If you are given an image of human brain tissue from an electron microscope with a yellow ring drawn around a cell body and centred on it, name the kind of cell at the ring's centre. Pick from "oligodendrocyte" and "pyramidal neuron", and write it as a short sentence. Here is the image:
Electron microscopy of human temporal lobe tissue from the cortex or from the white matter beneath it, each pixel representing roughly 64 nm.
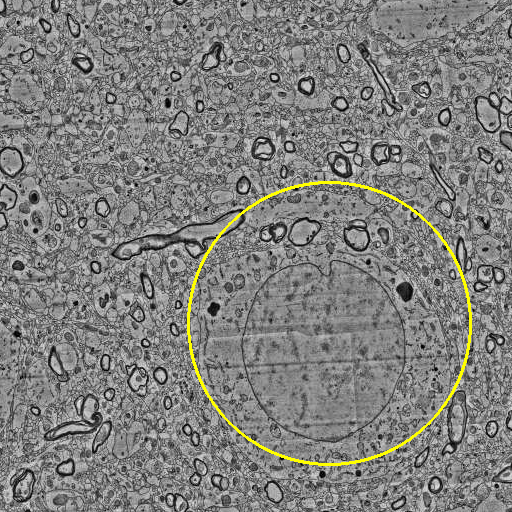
The cell at the ring's centre is a pyramidal neuron.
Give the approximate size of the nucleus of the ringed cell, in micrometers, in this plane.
The nucleus is about 11 micrometres across in this plane.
